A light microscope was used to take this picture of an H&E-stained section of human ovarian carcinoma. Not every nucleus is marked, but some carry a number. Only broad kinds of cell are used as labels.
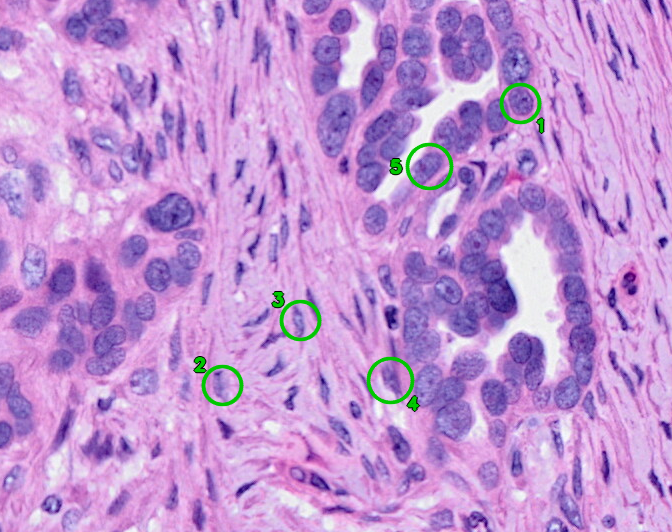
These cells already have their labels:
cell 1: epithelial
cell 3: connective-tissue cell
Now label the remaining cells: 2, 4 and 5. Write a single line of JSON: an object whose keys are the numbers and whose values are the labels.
{"2": "connective-tissue cell", "4": "connective-tissue cell", "5": "epithelial"}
